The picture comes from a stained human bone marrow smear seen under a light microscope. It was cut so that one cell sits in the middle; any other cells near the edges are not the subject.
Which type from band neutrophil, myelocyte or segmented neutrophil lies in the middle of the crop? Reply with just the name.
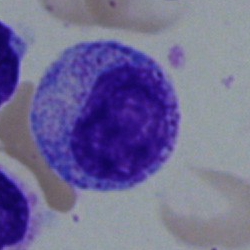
myelocyte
